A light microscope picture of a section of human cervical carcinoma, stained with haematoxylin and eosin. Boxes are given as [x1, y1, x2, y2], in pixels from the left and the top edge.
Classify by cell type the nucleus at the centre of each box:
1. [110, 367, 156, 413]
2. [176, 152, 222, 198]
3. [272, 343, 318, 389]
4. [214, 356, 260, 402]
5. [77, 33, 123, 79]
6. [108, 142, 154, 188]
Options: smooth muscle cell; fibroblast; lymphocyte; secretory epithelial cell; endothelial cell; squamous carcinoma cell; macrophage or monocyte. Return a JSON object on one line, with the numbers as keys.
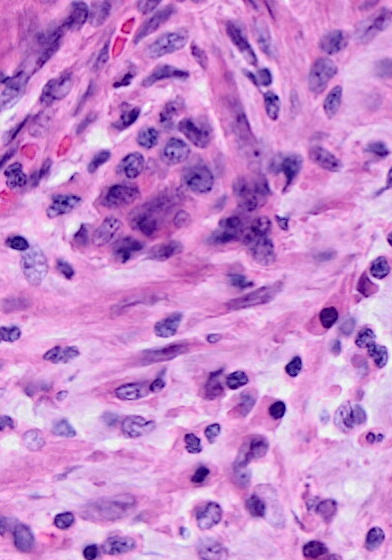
{"1": "endothelial cell", "2": "squamous carcinoma cell", "3": "lymphocyte", "4": "lymphocyte", "5": "endothelial cell", "6": "squamous carcinoma cell"}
